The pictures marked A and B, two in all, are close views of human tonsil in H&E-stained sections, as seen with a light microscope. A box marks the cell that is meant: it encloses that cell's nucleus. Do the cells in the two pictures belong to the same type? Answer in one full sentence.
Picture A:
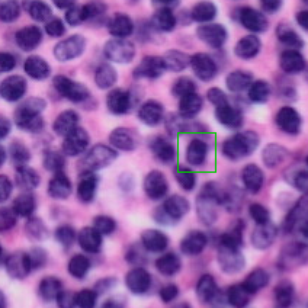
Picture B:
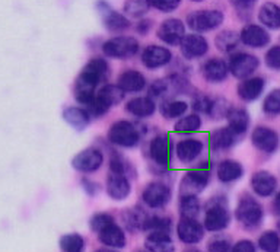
Yes; the cells in both pictures are small lymphocytes.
